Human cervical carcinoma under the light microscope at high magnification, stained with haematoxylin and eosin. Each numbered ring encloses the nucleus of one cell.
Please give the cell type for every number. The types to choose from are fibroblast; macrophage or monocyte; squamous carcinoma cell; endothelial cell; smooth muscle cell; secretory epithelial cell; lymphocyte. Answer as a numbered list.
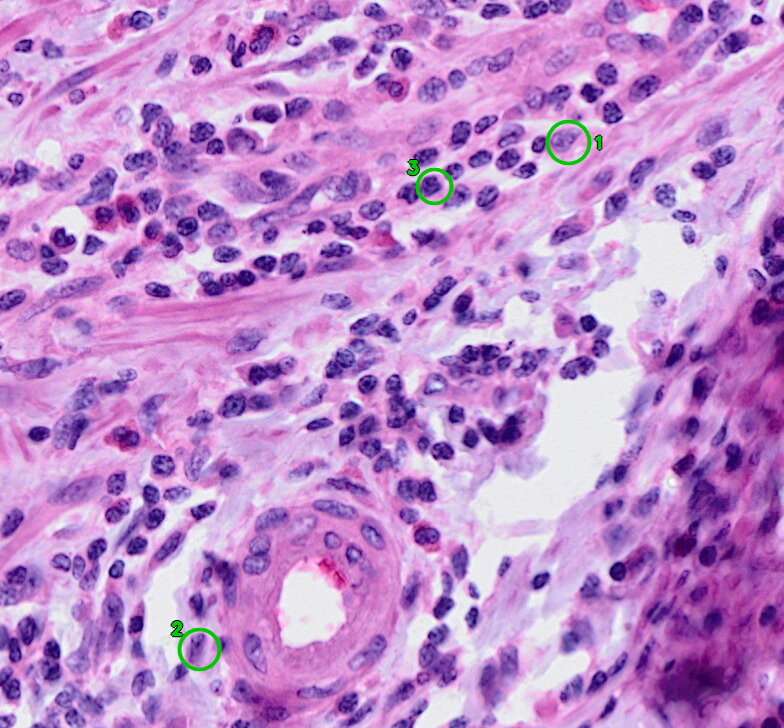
1. macrophage or monocyte
2. macrophage or monocyte
3. lymphocyte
